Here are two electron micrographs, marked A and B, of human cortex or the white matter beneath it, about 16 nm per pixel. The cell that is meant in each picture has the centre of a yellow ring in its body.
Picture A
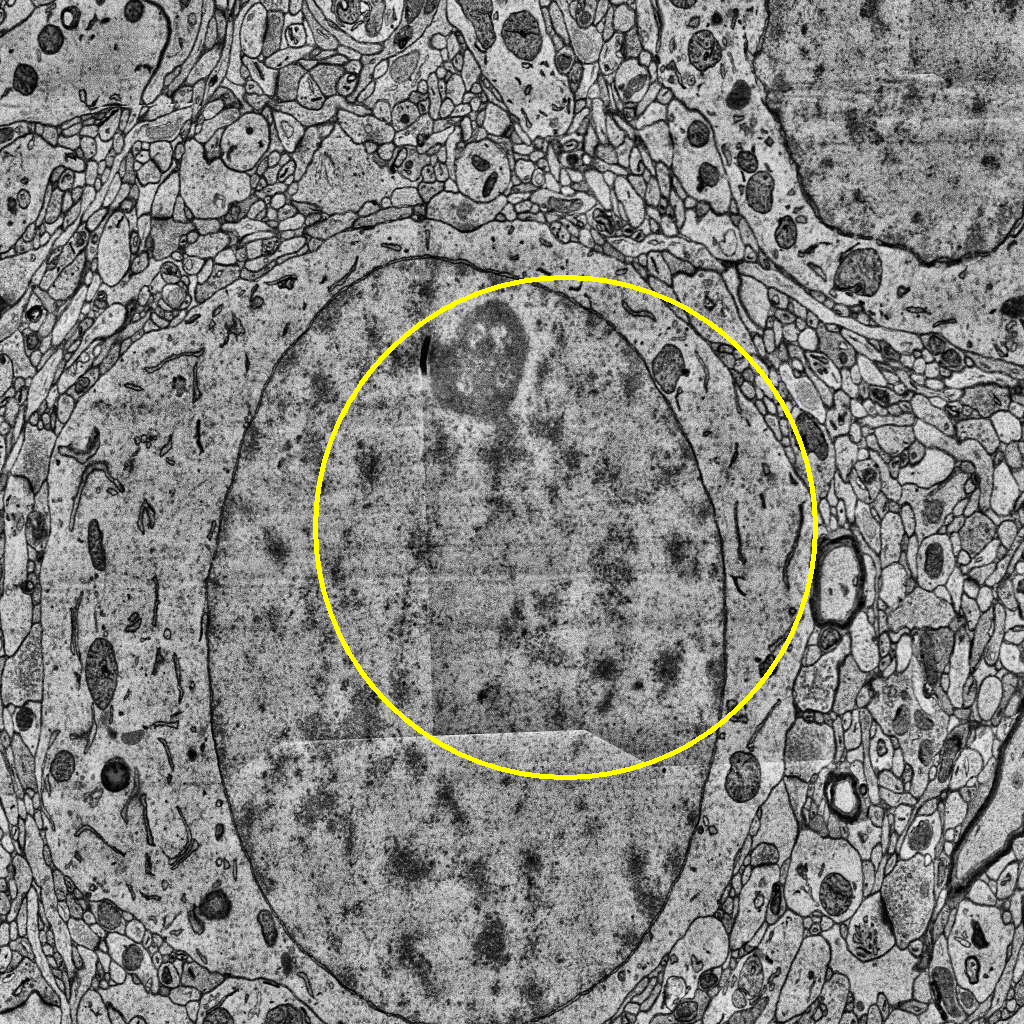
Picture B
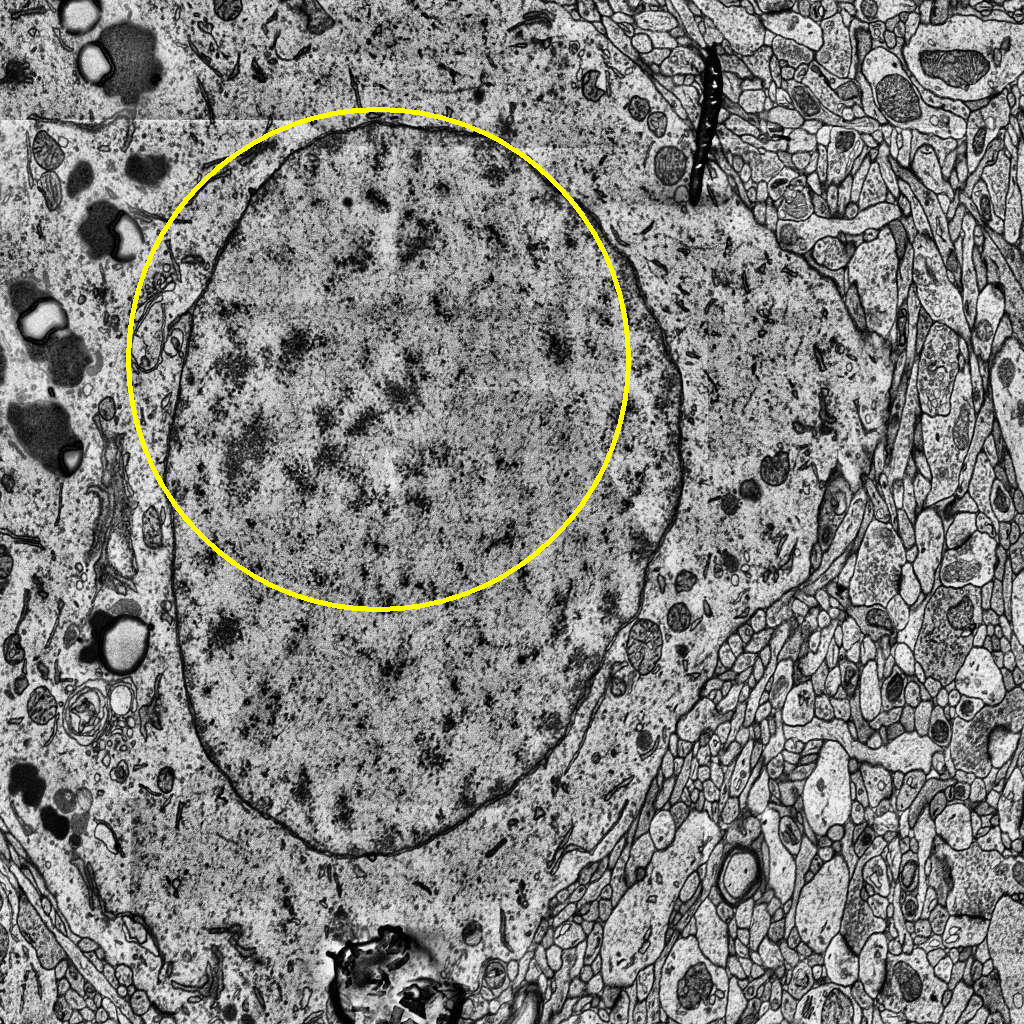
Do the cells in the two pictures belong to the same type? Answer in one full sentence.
Yes, the two pictures both show pyramidal neurons.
